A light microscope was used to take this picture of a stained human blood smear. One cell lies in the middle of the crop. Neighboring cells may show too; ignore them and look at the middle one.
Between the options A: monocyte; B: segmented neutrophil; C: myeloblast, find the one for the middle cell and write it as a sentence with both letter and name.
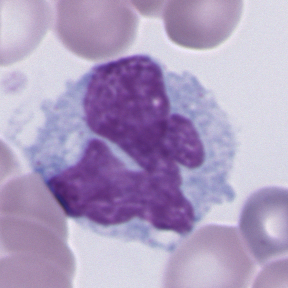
Option A holds up: the cell in the middle is a monocyte.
